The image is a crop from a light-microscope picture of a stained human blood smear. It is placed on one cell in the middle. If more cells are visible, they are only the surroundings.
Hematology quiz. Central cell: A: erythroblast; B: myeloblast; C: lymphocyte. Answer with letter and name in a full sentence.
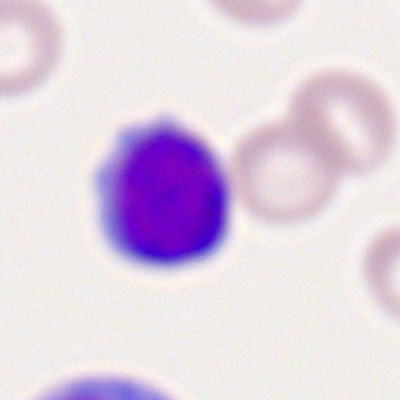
Occupying the middle of the crop is a lymphocyte, hence option C is correct.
